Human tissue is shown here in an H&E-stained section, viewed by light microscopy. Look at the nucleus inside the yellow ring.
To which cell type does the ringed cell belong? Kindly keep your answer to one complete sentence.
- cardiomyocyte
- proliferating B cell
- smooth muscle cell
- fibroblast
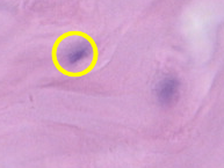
As for its identity, the ringed cell is a fibroblast.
